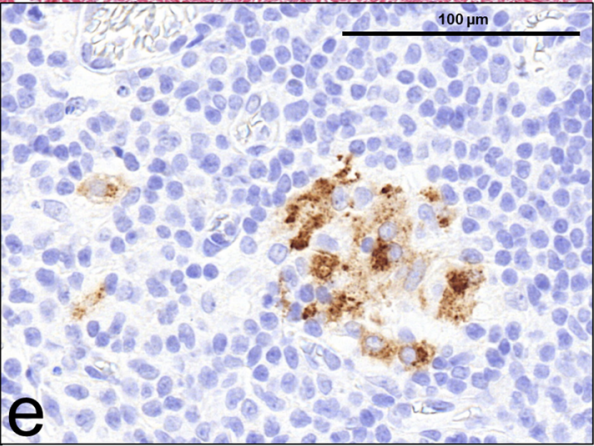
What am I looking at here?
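A dense sheet of small round lymphoid cells with blue nuclei fills the field. Near the centre sits a small cluster of larger cells with oval, paler nuclei and abundant cytoplasm filled with coarse brown granules; a couple of similar brown-stained cells lie separately to the left. The cluster stands out by its size and granular brown cytoplasm against the uniform small cells around it.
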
